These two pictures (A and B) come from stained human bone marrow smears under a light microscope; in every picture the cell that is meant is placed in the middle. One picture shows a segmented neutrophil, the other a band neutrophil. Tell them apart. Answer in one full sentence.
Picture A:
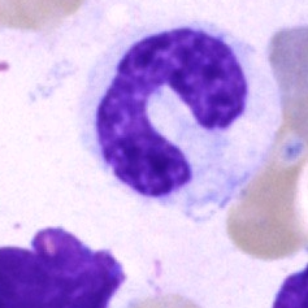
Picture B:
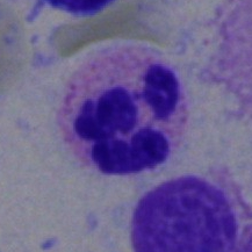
It is picture A that shows a band neutrophil, and picture B that shows a segmented neutrophil.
